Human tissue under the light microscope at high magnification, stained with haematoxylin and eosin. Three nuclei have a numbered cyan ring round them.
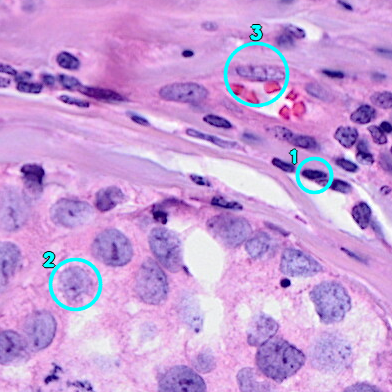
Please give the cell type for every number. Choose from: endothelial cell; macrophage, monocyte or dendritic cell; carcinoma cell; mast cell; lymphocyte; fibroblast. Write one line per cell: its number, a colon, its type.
1: lymphocyte
2: carcinoma cell
3: endothelial cell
